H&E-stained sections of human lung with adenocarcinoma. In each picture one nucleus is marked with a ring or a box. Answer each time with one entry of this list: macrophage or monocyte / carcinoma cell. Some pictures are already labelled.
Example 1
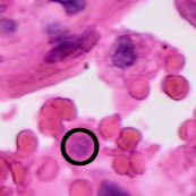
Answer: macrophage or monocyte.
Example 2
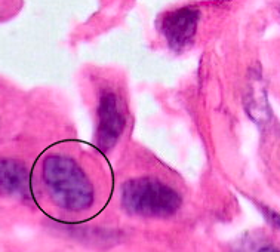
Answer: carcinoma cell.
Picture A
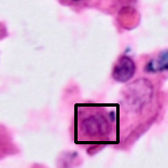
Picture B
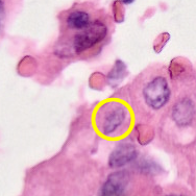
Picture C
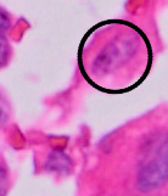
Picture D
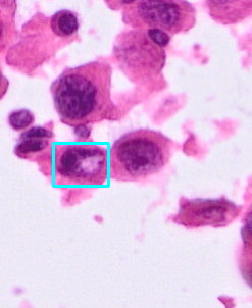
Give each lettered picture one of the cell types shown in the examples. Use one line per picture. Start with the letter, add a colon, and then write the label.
A: macrophage or monocyte.
B: macrophage or monocyte.
C: macrophage or monocyte.
D: carcinoma cell.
